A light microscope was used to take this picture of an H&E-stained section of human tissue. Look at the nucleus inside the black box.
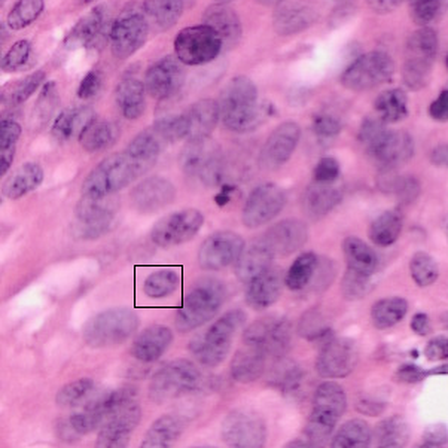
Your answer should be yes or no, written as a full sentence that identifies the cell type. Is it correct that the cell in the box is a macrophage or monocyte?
Yes, within this tissue section, the cell in the box is a macrophage or monocyte.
